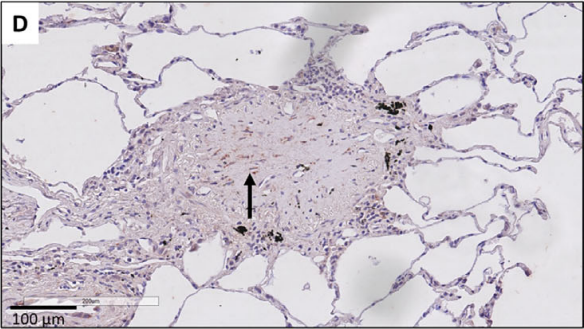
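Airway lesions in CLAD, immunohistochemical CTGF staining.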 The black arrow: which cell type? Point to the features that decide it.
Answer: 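Stromal cells. The arrow points into a fibrous nodule without an open lumen. Scattered elongated cells within it are faintly brown.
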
